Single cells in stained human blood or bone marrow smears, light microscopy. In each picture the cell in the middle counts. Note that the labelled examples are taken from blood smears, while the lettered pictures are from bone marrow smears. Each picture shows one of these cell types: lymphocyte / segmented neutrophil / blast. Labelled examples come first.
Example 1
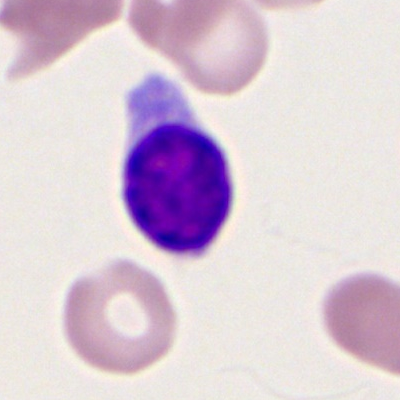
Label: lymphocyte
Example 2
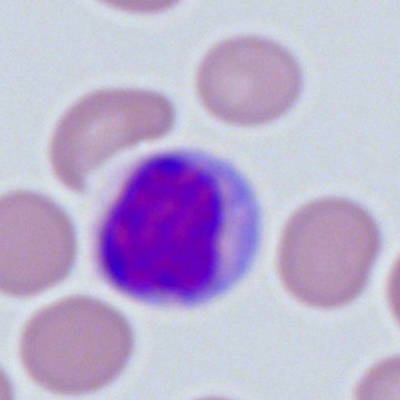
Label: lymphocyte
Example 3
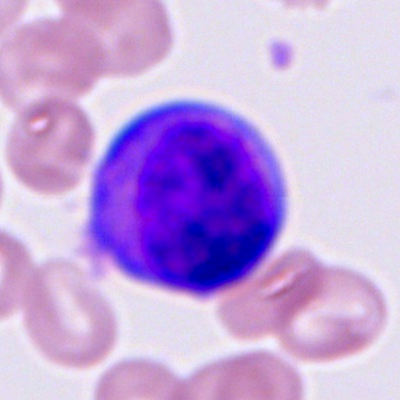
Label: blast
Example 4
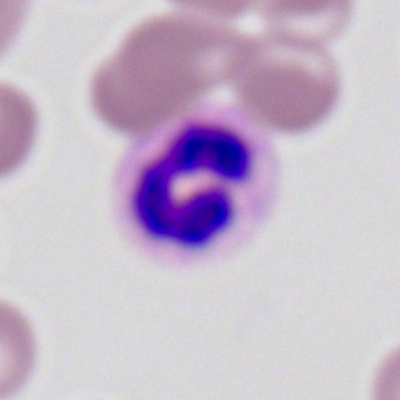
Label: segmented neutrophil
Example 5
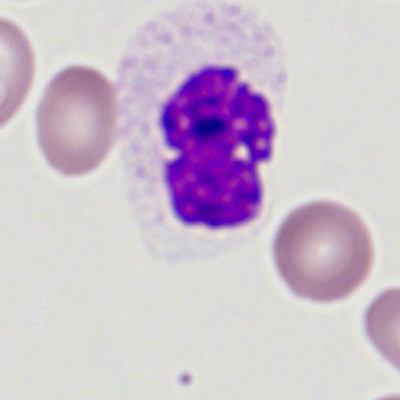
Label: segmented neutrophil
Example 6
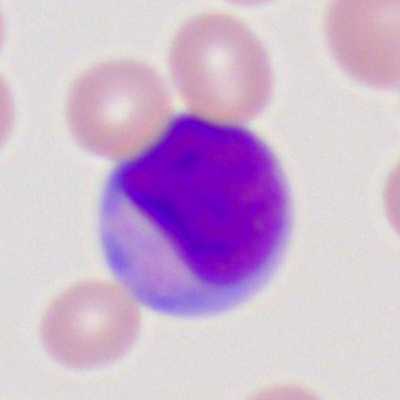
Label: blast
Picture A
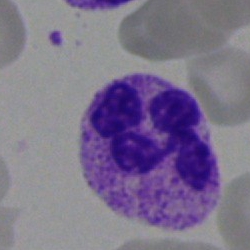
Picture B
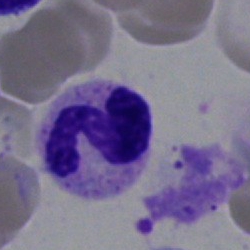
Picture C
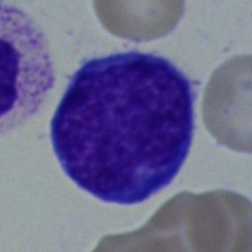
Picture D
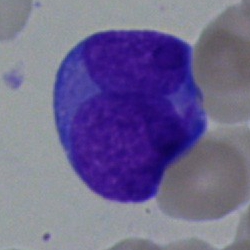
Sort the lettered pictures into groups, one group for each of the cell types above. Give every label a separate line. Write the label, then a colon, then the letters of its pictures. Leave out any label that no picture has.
segmented neutrophil: A, B
blast: C, D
